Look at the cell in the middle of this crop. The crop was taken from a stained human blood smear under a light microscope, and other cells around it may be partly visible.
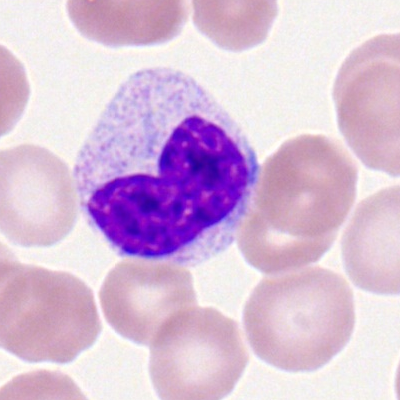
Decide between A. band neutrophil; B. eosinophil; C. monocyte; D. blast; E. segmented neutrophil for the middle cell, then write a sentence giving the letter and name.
The right choice is option A: the cell in the middle is a band neutrophil.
